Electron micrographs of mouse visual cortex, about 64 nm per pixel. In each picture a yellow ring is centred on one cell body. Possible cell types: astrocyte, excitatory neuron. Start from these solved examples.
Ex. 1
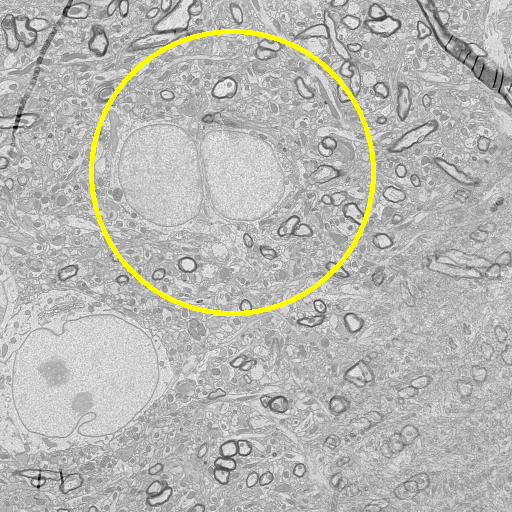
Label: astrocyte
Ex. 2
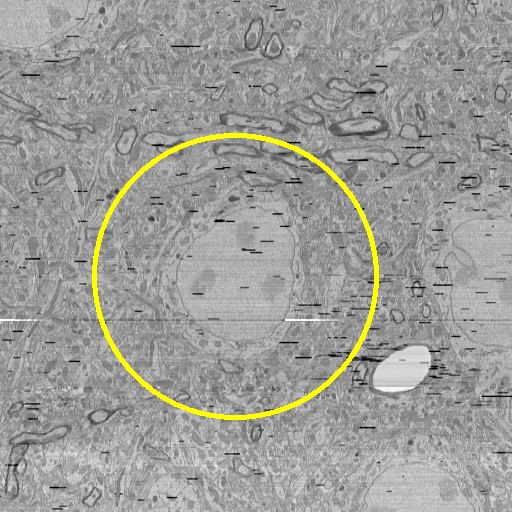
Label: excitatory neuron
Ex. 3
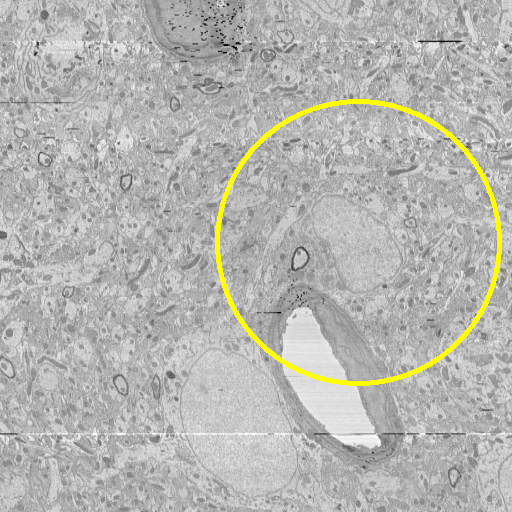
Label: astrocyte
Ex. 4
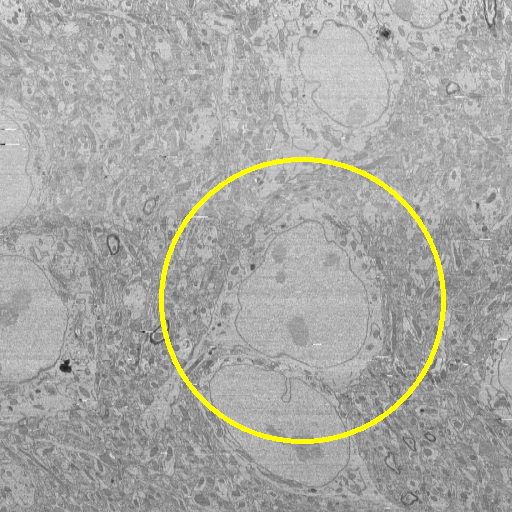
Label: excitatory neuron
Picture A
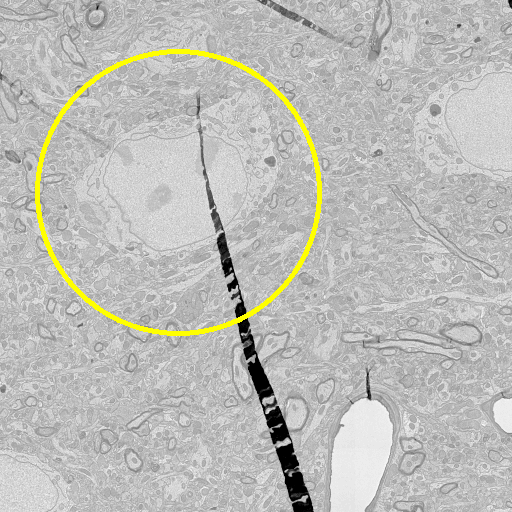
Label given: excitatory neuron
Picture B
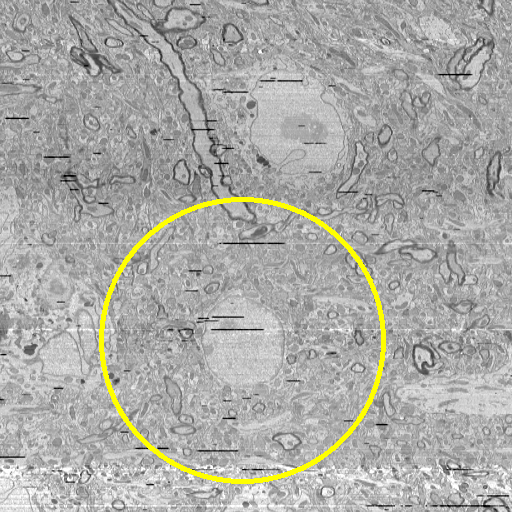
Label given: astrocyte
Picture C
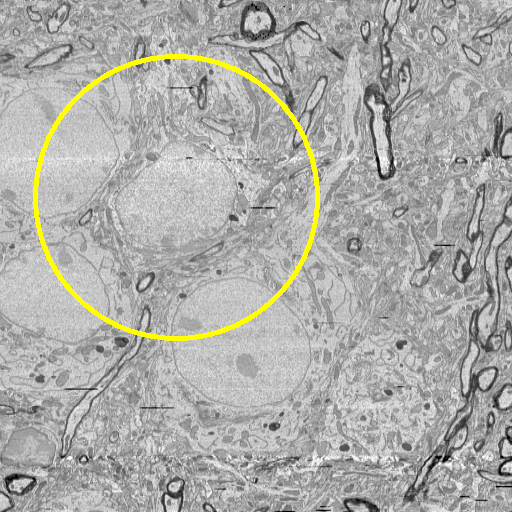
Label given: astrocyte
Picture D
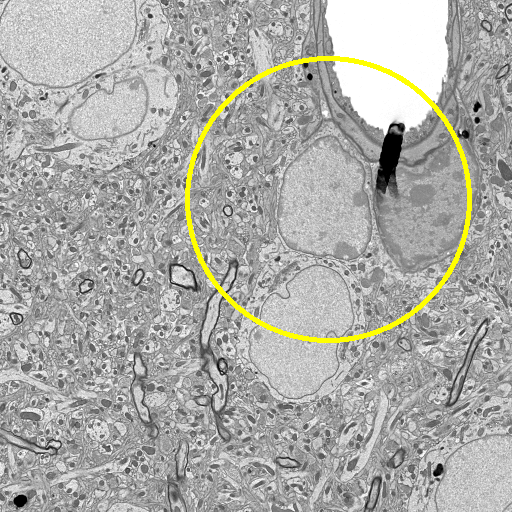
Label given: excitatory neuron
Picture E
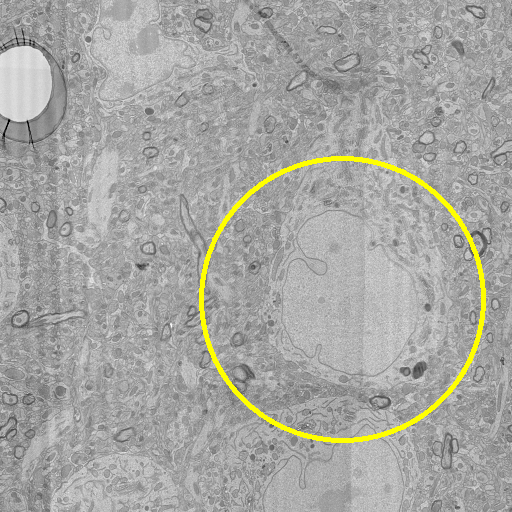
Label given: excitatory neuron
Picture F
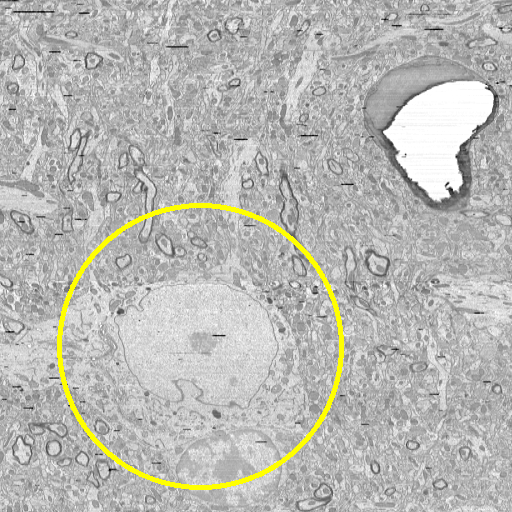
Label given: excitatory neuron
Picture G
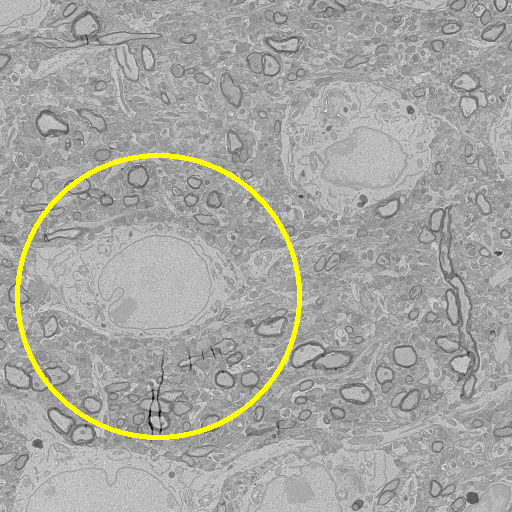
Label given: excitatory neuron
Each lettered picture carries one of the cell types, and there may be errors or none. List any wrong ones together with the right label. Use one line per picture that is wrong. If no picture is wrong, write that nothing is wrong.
D should be astrocyte, not excitatory neuron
